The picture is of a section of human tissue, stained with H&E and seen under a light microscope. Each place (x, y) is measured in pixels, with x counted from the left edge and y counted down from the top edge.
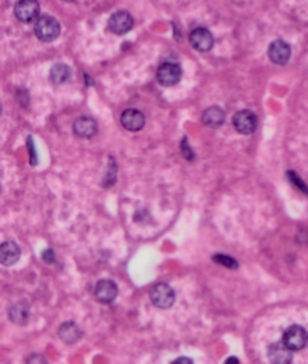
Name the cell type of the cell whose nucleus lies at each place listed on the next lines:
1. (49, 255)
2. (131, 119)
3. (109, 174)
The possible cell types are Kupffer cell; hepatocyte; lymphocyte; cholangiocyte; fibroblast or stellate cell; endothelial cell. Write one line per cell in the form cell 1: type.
cell 1: lymphocyte
cell 2: hepatocyte
cell 3: endothelial cell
